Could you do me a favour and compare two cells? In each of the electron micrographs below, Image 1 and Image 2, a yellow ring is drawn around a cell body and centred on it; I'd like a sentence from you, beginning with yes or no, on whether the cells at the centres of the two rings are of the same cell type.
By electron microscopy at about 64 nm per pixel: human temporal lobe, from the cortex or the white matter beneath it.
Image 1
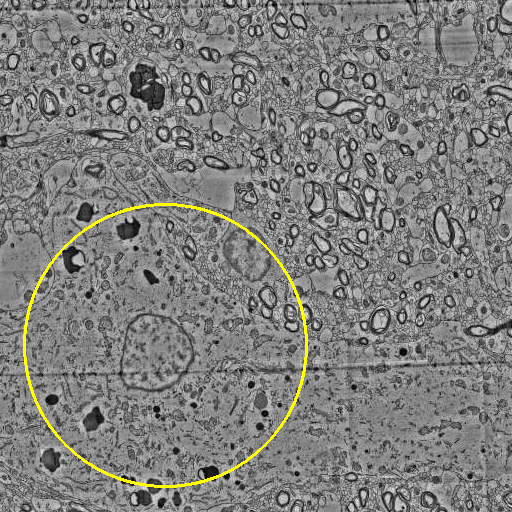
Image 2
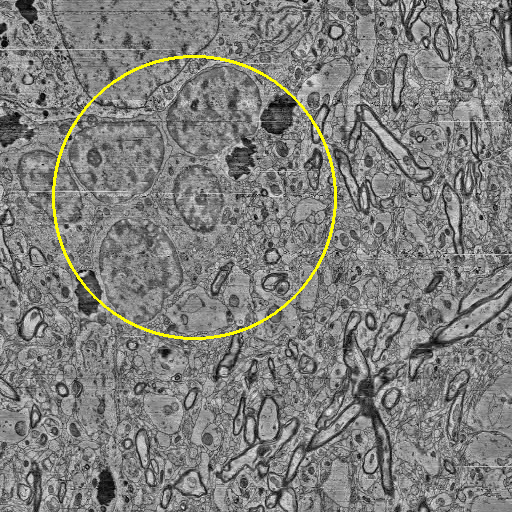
No, the two cells are of two cell types.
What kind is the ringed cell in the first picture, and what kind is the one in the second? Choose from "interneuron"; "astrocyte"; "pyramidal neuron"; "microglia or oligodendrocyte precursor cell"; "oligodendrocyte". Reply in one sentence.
The first cell is a pyramidal neuron; the second is an oligodendrocyte.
